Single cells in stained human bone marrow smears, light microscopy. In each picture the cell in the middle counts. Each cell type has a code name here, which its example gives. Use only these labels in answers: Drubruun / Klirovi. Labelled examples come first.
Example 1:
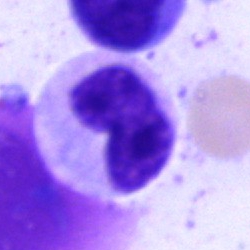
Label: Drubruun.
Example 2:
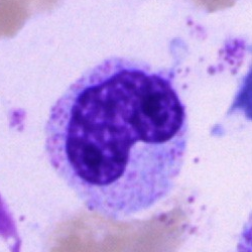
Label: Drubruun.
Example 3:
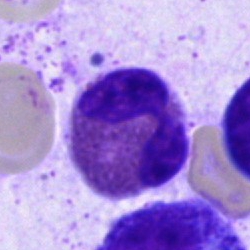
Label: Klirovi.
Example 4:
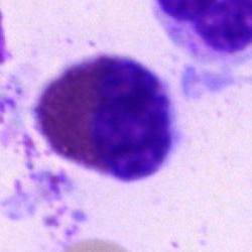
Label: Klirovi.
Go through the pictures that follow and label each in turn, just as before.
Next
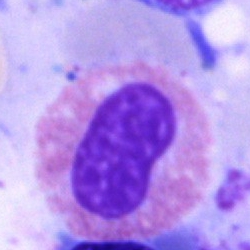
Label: Klirovi.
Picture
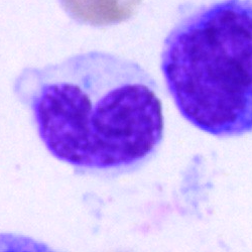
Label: Drubruun.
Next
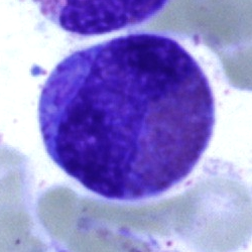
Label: Klirovi.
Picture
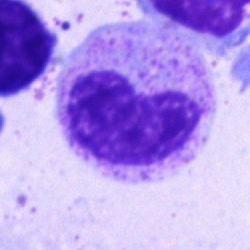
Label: Drubruun.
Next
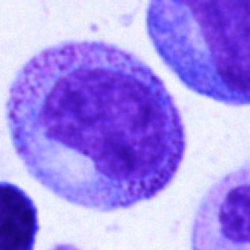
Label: Drubruun.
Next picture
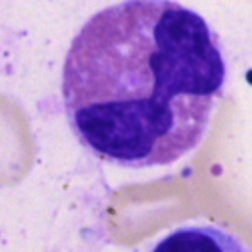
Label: Klirovi.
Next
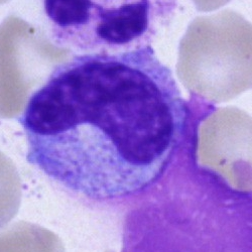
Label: Drubruun.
